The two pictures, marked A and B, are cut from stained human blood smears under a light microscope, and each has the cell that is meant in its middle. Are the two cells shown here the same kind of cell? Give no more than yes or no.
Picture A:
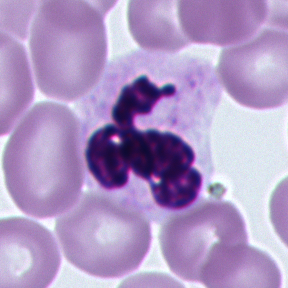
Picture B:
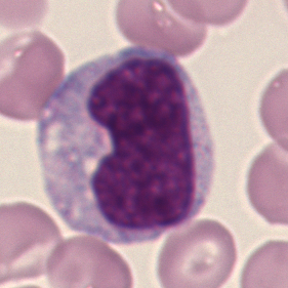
no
